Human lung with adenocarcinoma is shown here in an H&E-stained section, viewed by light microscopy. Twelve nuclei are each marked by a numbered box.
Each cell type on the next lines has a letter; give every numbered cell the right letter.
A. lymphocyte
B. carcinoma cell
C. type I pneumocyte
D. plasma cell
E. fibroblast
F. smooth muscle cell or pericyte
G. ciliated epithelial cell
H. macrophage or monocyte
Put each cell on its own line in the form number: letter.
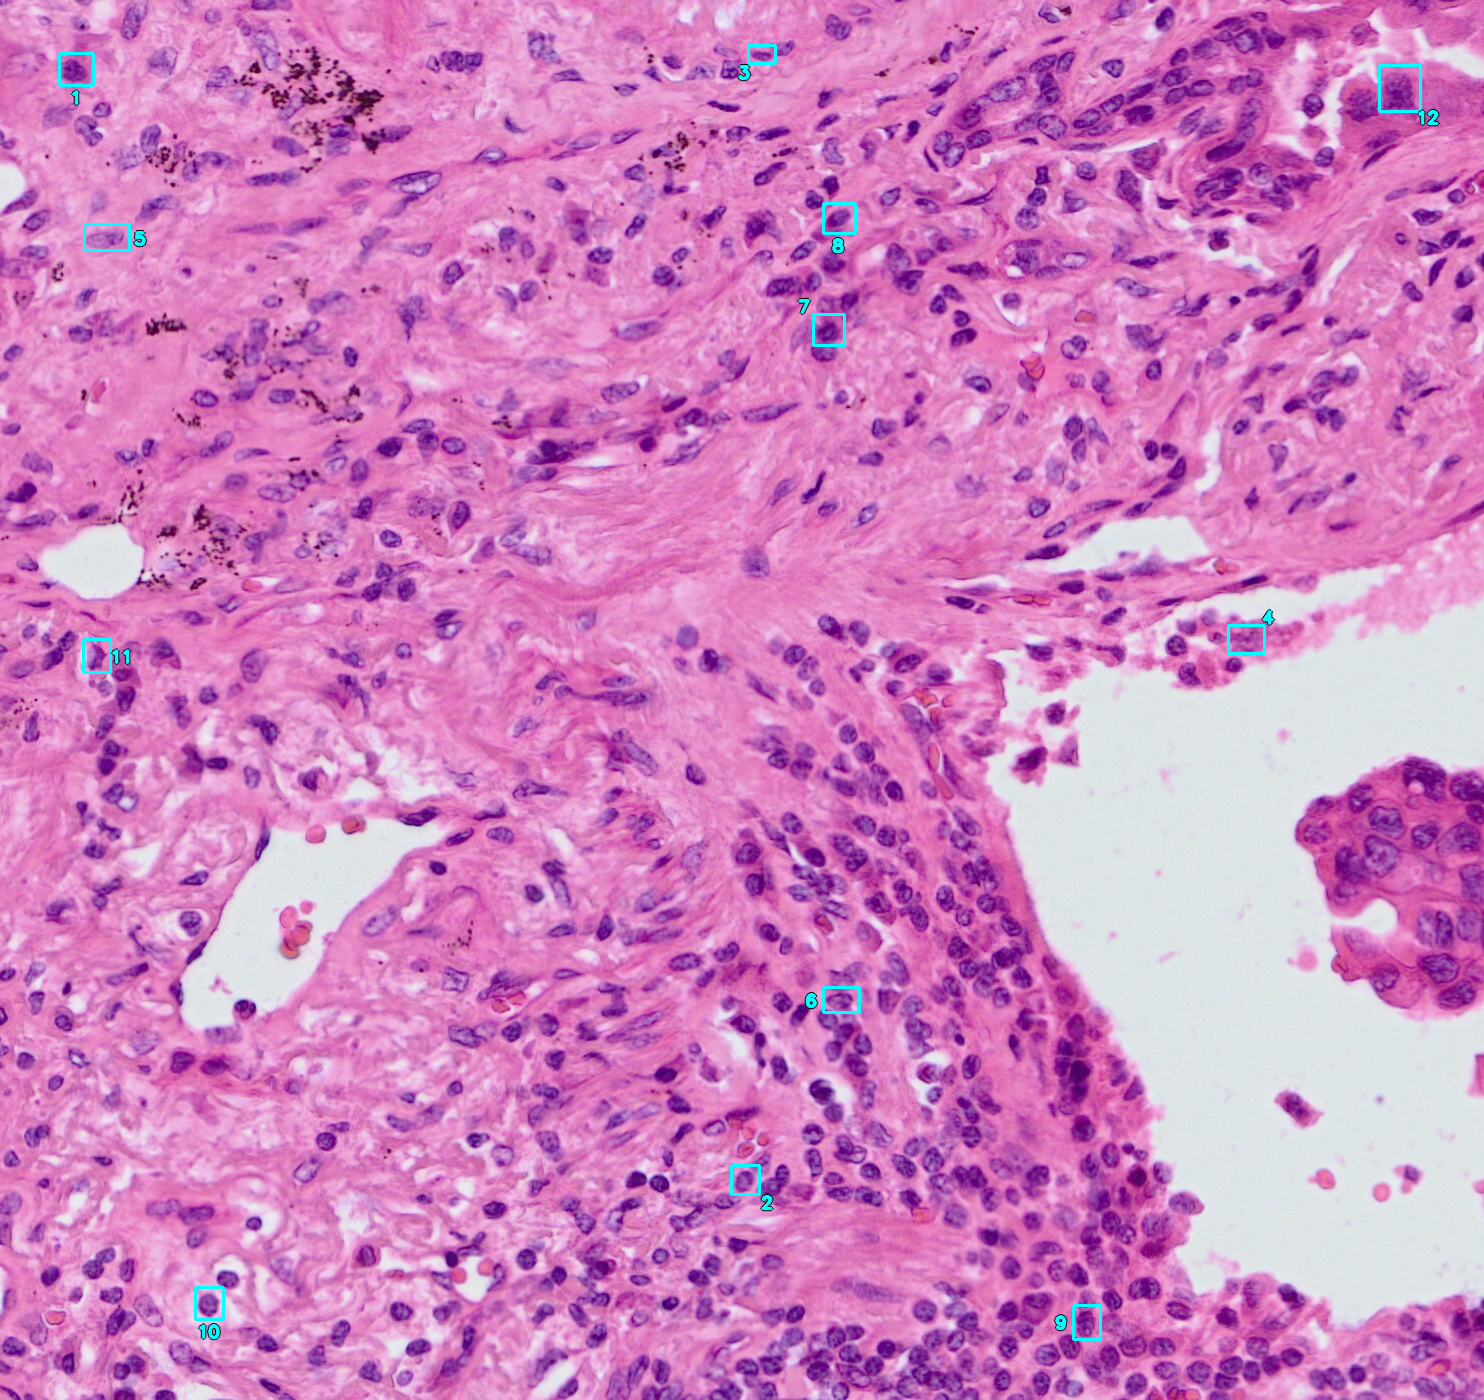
1: D
2: A
3: F
4: H
5: E
6: A
7: D
8: D
9: A
10: A
11: D
12: B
